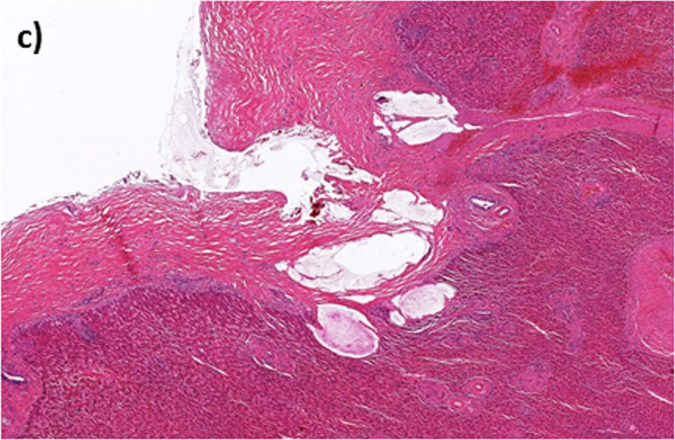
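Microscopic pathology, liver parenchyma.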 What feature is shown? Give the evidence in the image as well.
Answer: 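Mucinous lake. Pale, nearly clear pools of material lie within the pink tissue. The pools are surrounded by bands of fibrous tissue. Dense pink-purple parenchyma surrounds the pools.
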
